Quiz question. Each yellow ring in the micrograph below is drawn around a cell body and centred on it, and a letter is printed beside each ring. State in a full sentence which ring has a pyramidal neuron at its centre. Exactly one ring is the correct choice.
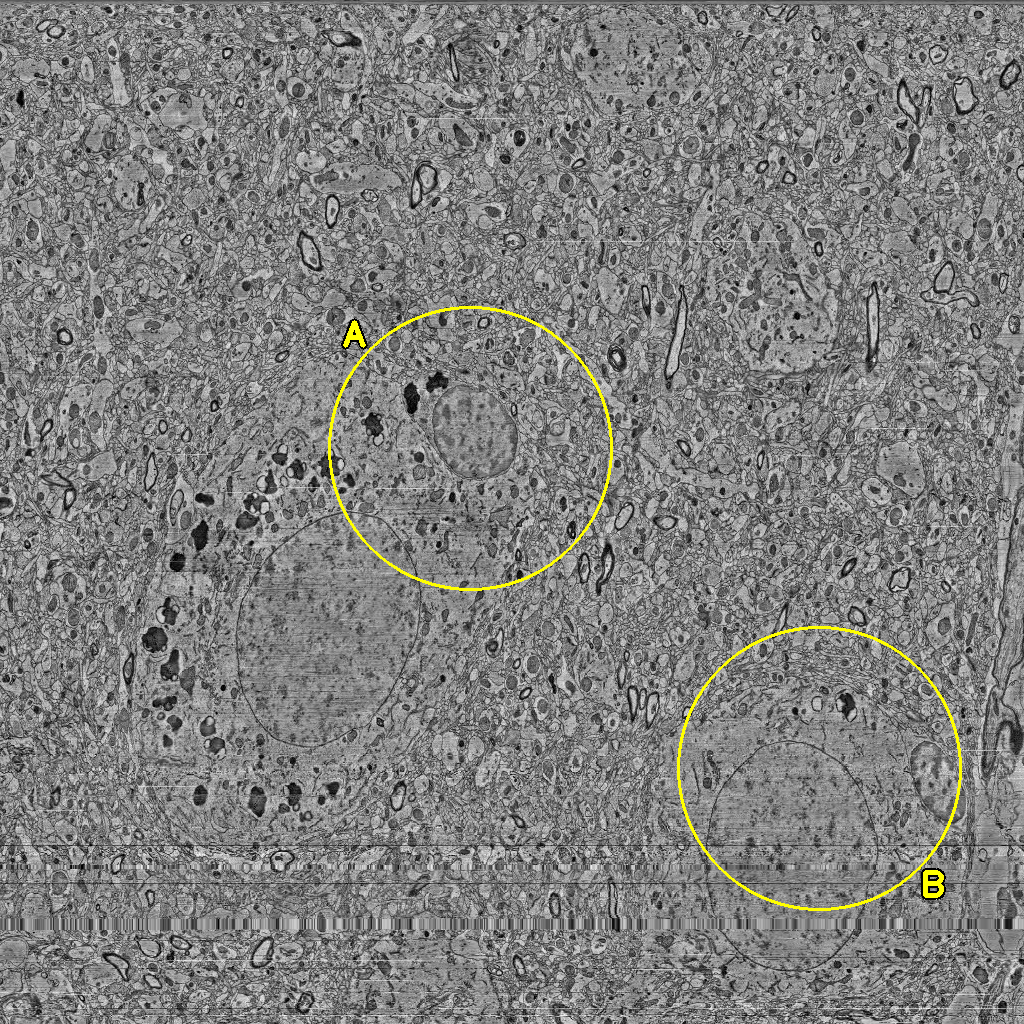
The correct ring is ring B.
